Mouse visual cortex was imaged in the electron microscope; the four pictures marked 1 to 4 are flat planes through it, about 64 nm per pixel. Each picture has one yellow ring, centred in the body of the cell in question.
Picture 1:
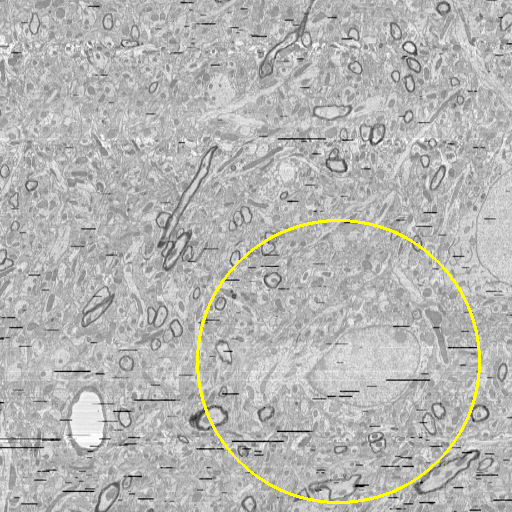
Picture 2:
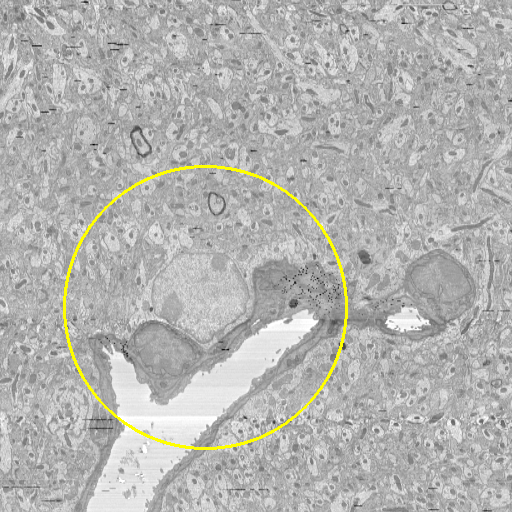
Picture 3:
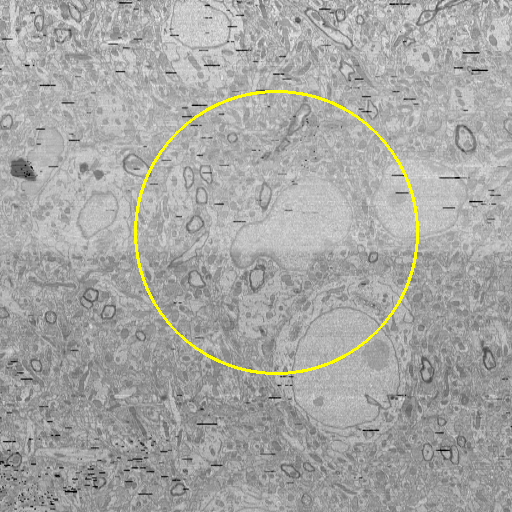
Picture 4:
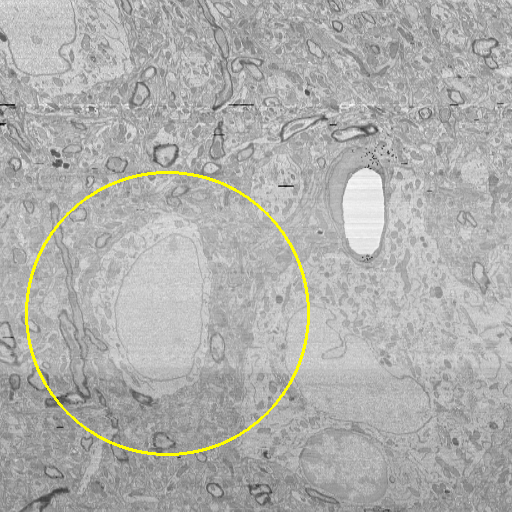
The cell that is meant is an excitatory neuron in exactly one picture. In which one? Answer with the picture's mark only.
4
